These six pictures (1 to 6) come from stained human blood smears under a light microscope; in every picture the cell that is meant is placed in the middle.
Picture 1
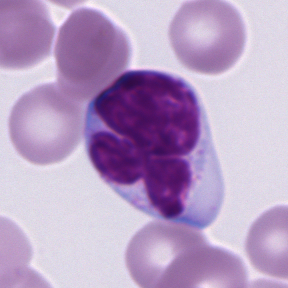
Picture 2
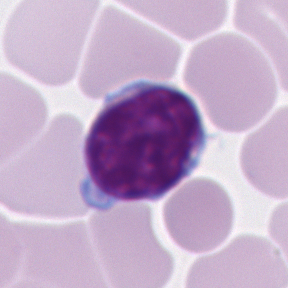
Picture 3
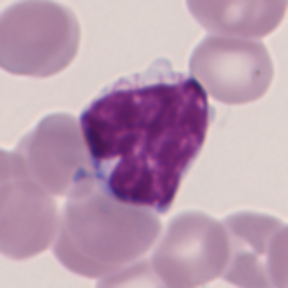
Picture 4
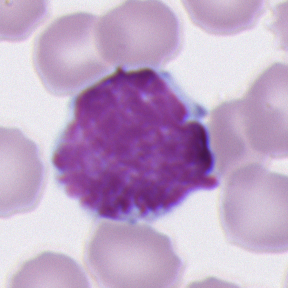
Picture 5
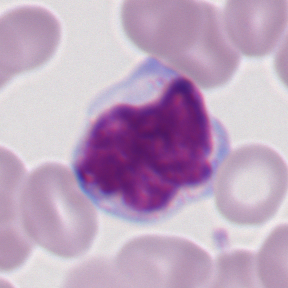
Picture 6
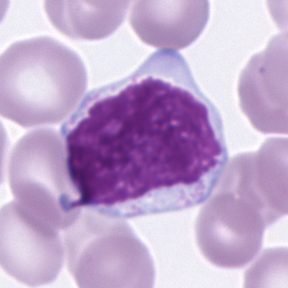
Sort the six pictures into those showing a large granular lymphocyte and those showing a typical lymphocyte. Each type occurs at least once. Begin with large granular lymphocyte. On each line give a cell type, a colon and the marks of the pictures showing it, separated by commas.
large granular lymphocyte: 1, 3, 5, 6
typical lymphocyte: 2, 4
